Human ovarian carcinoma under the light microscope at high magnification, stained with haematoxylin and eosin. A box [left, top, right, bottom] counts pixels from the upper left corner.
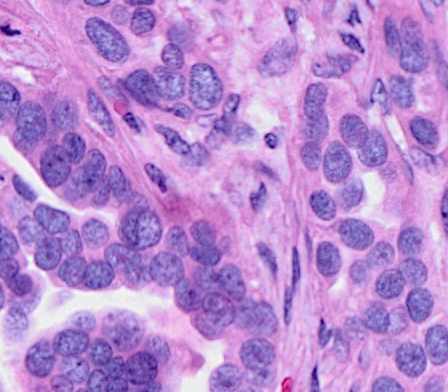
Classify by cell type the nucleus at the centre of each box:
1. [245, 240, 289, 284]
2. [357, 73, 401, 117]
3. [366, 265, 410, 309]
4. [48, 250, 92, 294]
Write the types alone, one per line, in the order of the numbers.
fibroblast
fibroblast
carcinoma cell
carcinoma cell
